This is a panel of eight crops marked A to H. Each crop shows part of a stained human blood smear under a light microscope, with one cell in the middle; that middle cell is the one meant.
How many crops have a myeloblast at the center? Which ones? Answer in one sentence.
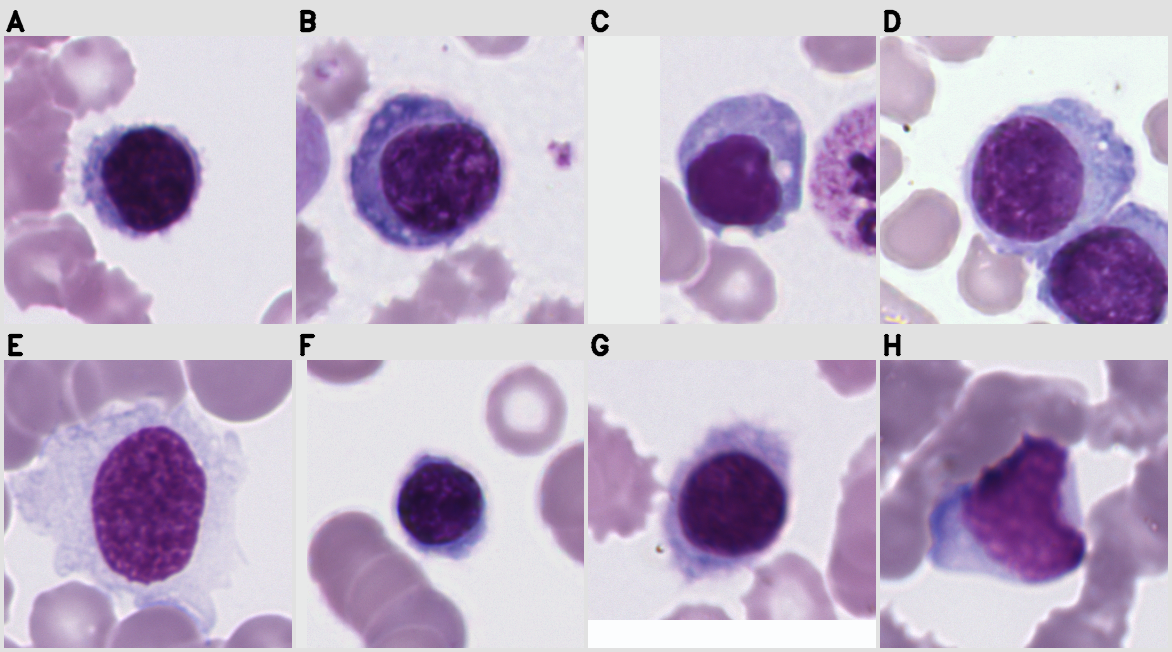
A single crop in this set shows a myeloblast, and it is crop H.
